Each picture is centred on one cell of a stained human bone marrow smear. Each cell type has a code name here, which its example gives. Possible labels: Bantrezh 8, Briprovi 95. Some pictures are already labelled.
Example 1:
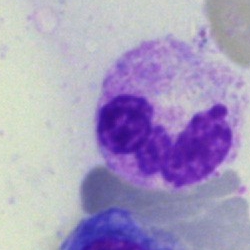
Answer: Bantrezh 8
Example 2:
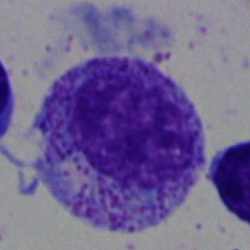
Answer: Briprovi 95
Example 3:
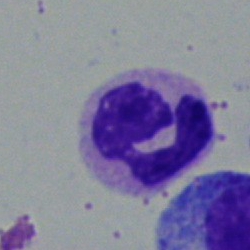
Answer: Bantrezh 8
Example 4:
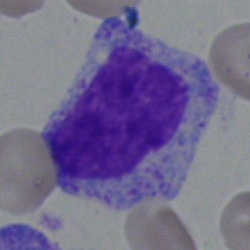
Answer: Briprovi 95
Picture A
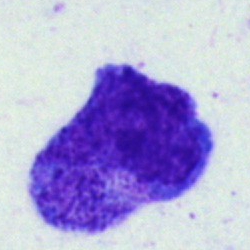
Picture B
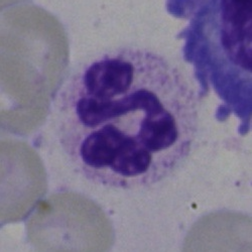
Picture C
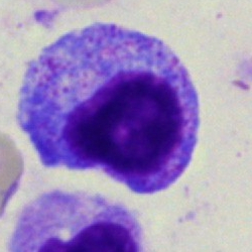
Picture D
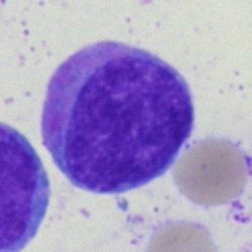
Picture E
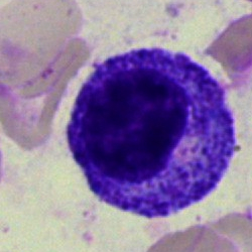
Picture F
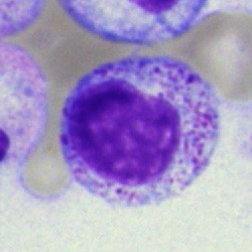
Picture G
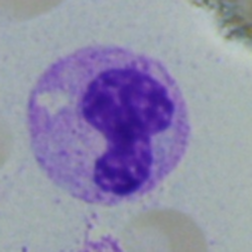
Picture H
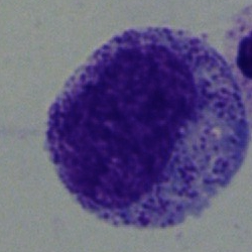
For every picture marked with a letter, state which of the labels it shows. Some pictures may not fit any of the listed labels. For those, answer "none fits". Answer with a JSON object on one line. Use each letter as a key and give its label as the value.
{"A": "none fits", "B": "Bantrezh 8", "C": "none fits", "D": "none fits", "E": "Briprovi 95", "F": "Briprovi 95", "G": "Bantrezh 8", "H": "none fits"}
